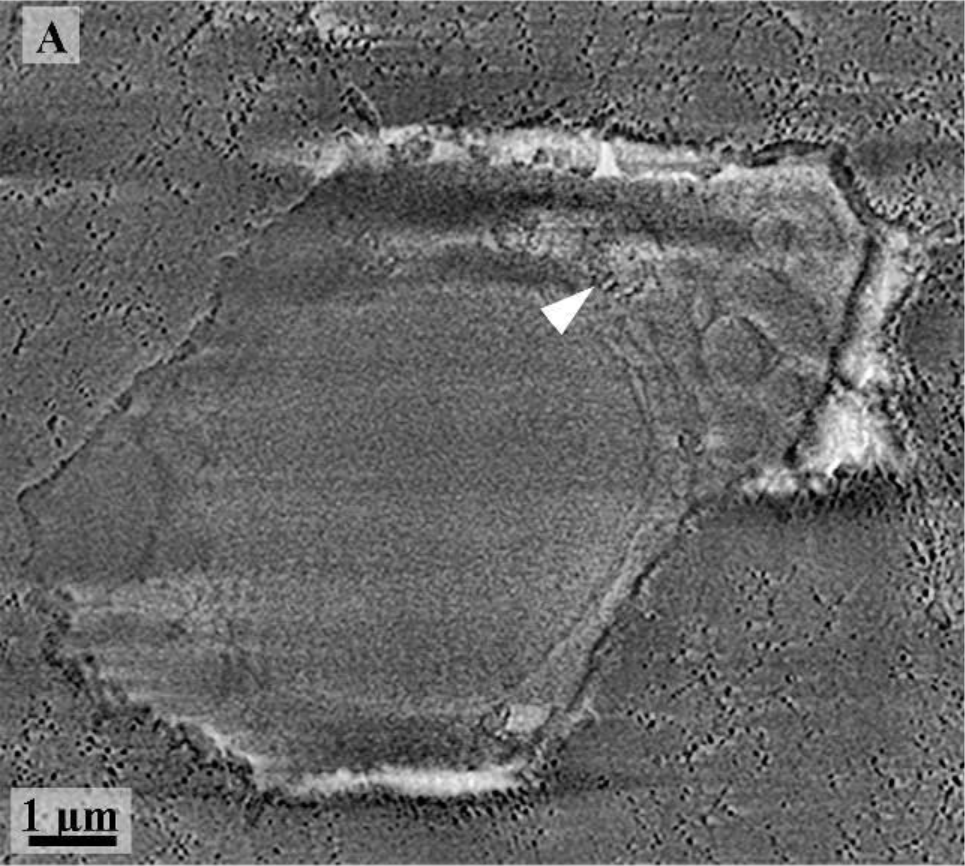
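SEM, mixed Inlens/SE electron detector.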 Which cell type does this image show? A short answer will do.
osteocyte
